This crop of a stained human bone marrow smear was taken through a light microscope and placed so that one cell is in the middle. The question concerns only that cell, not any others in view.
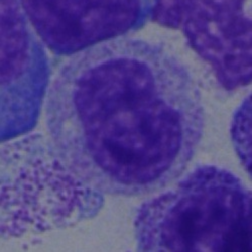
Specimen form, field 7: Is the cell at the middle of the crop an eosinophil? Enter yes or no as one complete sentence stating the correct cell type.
No, the central cell does not represent an eosinophil, but a metamyelocyte.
